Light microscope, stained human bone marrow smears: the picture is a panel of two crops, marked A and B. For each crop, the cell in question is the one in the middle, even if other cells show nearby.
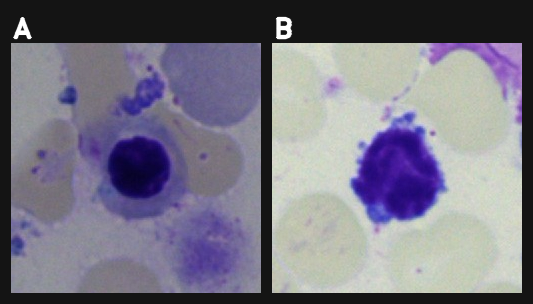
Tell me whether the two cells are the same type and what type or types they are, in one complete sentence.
No, an erythroblast is shown in crop A and a lymphocyte in crop B.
